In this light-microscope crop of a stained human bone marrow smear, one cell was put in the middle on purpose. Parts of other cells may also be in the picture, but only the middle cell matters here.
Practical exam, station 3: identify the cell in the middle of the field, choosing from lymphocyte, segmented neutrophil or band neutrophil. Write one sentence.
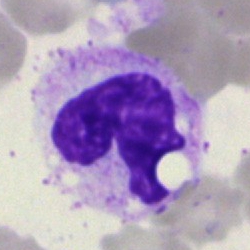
In the center of this field lies a band neutrophil.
